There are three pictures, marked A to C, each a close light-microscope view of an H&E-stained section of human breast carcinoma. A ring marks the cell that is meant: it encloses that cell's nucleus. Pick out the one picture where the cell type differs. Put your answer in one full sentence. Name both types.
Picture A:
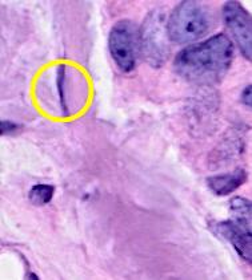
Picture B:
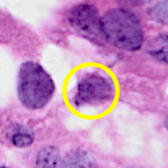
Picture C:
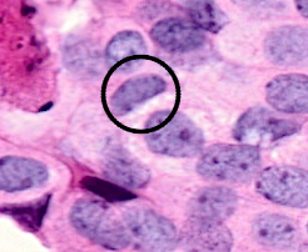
Picture A differs, because its cell is a fibroblast and the rest are carcinoma cells.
